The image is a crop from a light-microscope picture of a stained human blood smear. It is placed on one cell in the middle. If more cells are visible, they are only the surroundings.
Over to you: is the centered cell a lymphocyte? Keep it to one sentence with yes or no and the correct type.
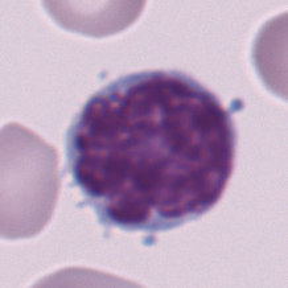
Yes, as regards the cell in the middle, it is a lymphocyte.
